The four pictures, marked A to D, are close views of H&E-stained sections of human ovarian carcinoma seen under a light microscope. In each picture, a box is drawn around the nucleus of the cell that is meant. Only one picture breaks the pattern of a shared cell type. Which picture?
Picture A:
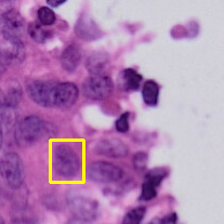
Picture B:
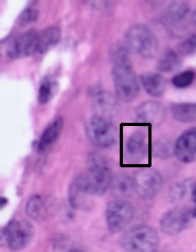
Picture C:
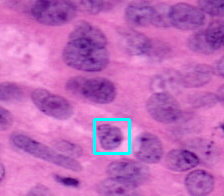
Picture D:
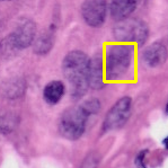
C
